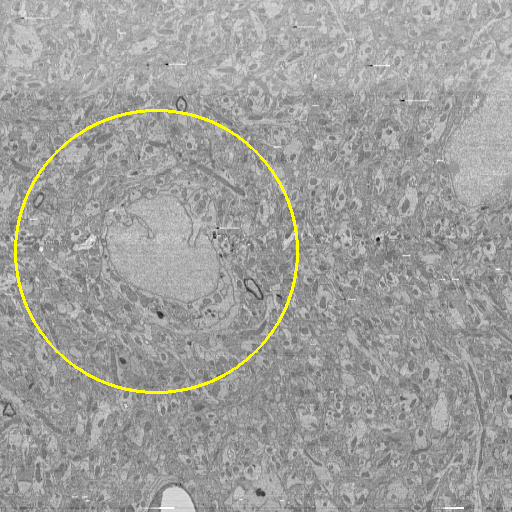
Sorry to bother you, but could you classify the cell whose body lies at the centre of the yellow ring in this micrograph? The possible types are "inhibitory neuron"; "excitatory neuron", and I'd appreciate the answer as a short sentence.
The ringed cell body is that of an inhibitory neuron.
